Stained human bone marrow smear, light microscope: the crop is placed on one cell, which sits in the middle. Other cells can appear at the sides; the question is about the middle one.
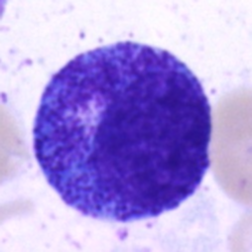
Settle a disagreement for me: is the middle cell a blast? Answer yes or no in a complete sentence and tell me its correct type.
No, in the centre of the crop lies a promyelocyte, not a blast.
